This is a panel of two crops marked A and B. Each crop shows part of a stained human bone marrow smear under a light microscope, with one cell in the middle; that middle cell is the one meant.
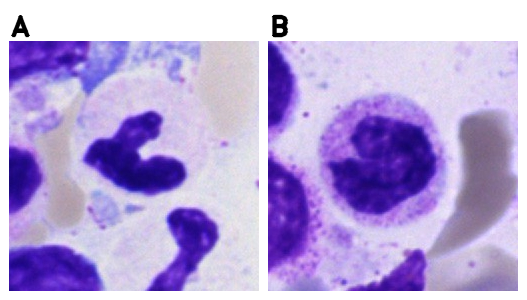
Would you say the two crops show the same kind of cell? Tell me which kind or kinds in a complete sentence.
Yes, both crops depict segmented neutrophils at the centre.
